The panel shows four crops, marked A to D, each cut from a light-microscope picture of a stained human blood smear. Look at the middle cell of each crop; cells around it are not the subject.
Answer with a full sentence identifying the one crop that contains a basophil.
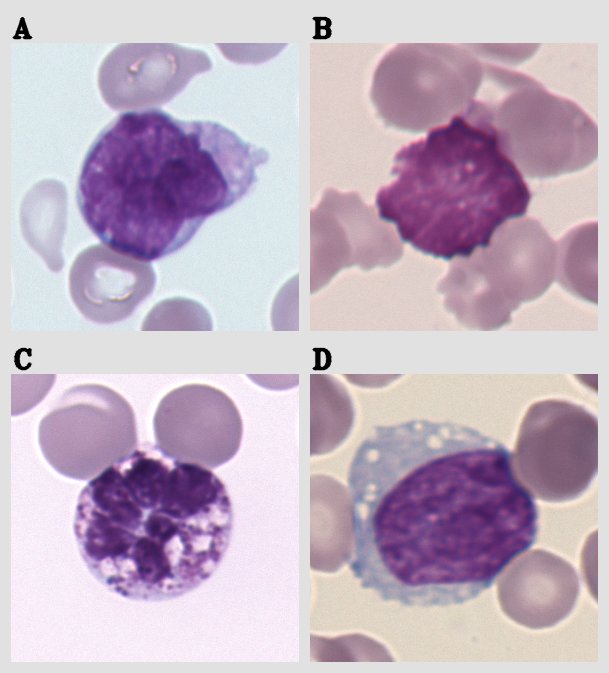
The one showing a basophil is the crop labelled C.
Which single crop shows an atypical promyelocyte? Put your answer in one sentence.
Of the cells presented, the one in crop A is an atypical promyelocyte.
